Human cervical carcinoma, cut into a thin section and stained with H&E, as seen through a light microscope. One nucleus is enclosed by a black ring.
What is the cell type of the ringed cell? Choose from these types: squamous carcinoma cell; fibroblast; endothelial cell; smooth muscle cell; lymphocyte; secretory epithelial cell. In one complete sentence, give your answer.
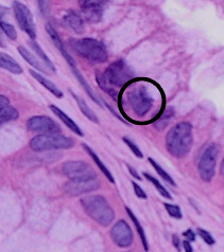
In the context of this tissue, the ringed cell is a secretory epithelial cell.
